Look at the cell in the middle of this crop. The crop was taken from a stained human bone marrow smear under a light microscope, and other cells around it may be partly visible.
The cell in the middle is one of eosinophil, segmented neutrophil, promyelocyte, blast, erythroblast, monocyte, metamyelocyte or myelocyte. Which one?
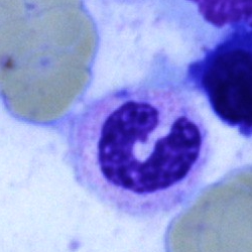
segmented neutrophil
